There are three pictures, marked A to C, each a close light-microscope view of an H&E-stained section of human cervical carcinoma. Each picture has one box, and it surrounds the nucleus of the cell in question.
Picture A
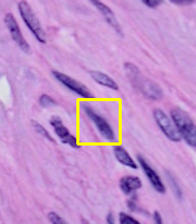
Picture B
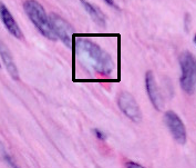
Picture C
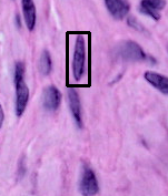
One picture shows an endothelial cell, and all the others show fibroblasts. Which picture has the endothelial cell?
B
